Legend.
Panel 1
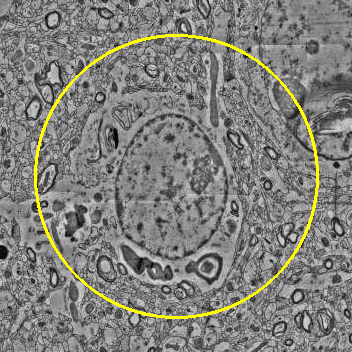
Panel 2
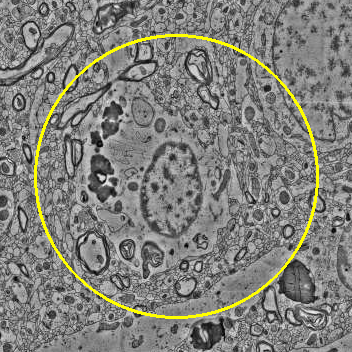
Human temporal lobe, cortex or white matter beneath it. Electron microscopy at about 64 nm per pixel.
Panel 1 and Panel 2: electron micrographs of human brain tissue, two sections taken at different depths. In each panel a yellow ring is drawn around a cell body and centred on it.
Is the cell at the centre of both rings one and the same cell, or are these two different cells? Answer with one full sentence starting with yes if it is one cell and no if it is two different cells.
Yes, one cell appears twice, once in each ring.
